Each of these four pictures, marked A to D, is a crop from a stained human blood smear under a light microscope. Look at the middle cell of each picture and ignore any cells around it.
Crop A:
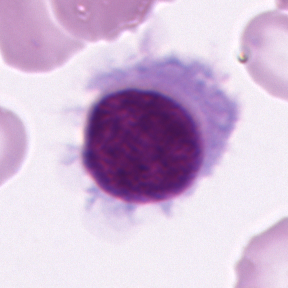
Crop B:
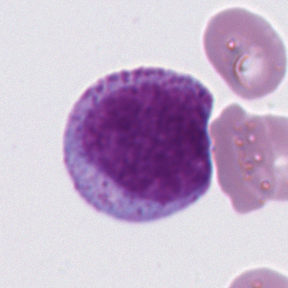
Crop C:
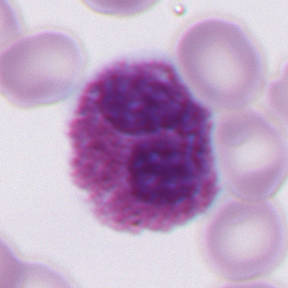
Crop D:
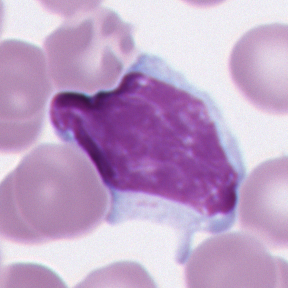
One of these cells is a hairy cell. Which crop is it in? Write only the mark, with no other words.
A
